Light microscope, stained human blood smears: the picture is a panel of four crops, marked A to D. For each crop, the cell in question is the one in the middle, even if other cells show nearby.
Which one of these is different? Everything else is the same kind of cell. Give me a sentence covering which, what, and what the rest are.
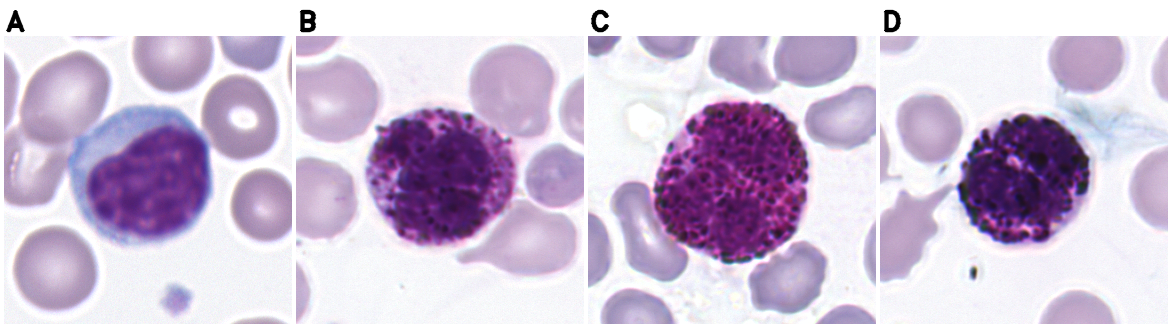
Crop A is a typical lymphocyte, while the rest of the set consists of basophils.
